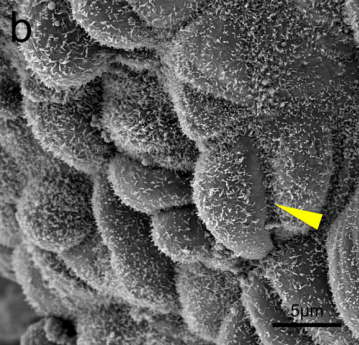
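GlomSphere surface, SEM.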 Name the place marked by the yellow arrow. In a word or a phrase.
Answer: Cell–cell interfaces.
